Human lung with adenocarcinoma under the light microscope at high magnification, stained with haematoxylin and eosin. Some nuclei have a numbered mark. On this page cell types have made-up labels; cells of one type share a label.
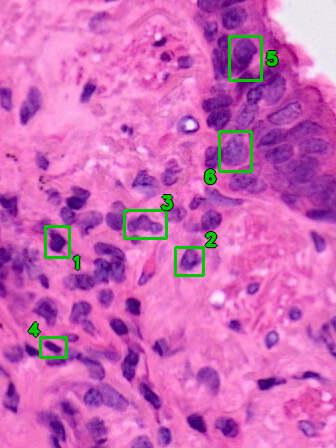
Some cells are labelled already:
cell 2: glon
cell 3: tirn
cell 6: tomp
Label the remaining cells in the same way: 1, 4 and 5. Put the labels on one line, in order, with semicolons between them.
tirn; tirn; tomp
